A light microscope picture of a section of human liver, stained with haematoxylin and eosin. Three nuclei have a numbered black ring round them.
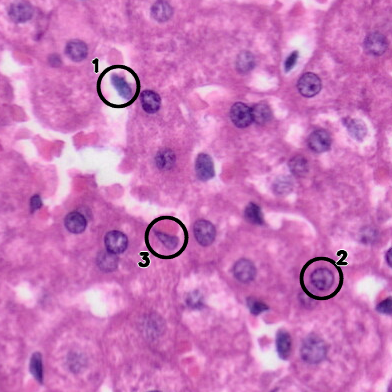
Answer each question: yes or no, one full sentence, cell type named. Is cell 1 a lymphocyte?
Yes, that is correct: the cell numbered 1 is a lymphocyte.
